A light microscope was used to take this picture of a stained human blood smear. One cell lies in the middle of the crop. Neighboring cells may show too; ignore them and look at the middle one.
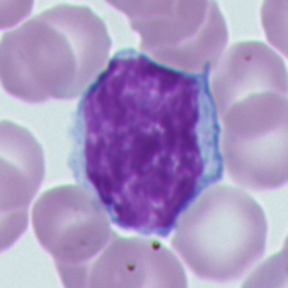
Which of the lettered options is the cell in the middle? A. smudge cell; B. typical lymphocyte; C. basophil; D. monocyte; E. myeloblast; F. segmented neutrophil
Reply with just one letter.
B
